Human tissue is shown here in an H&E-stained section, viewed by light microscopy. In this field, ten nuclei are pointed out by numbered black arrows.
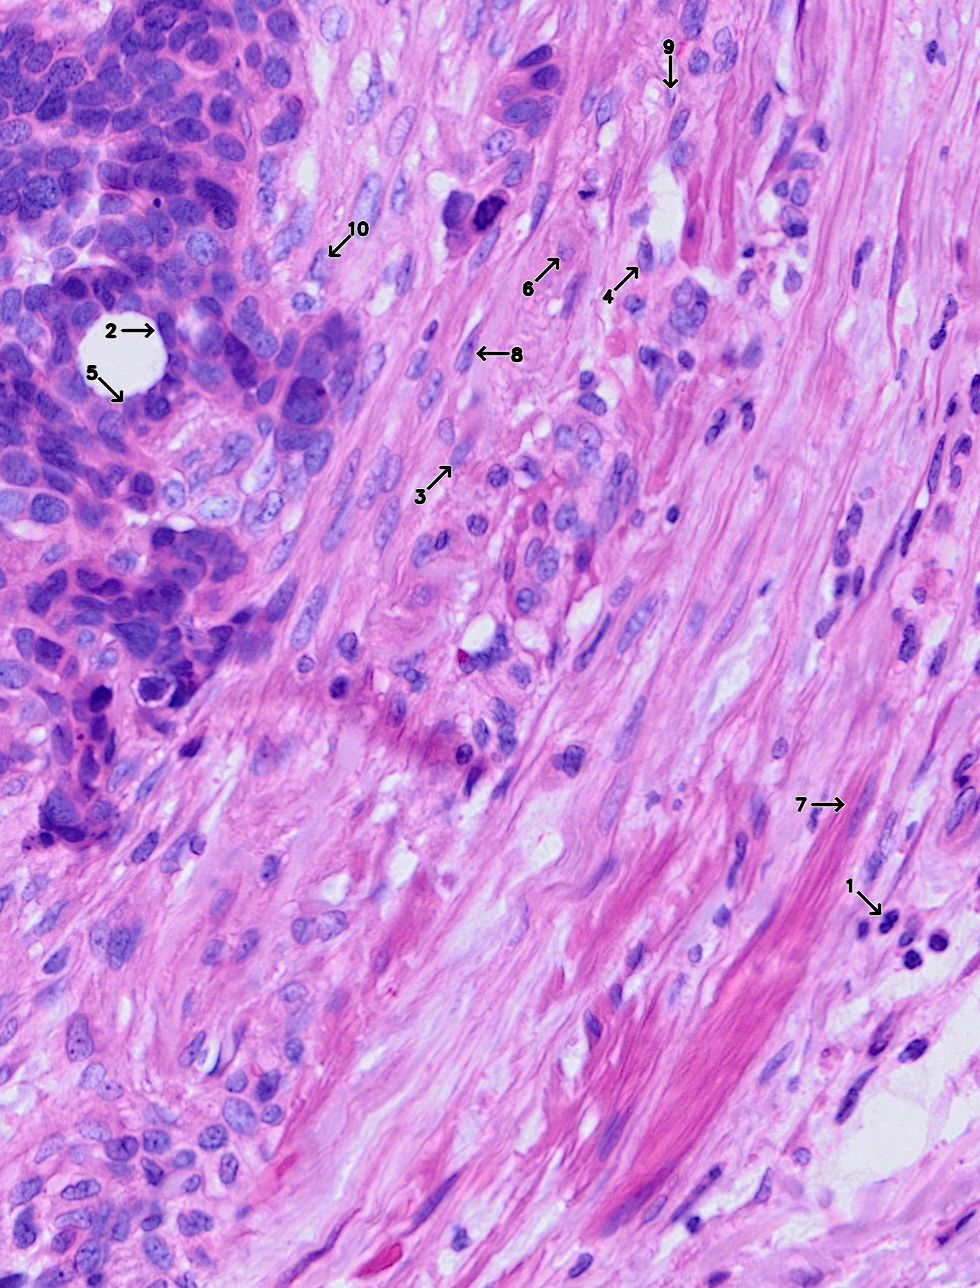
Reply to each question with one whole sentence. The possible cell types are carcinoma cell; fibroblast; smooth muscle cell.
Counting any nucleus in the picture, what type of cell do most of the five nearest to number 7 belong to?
Fibroblasts account for more than half of the five nuclei nearest to number 7.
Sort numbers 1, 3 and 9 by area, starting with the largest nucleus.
Largest first, the order by area is 3, 1, 9.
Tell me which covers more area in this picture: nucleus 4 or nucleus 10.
Nucleus 10 is larger, with an area about 1.5 times that of nucleus 4.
